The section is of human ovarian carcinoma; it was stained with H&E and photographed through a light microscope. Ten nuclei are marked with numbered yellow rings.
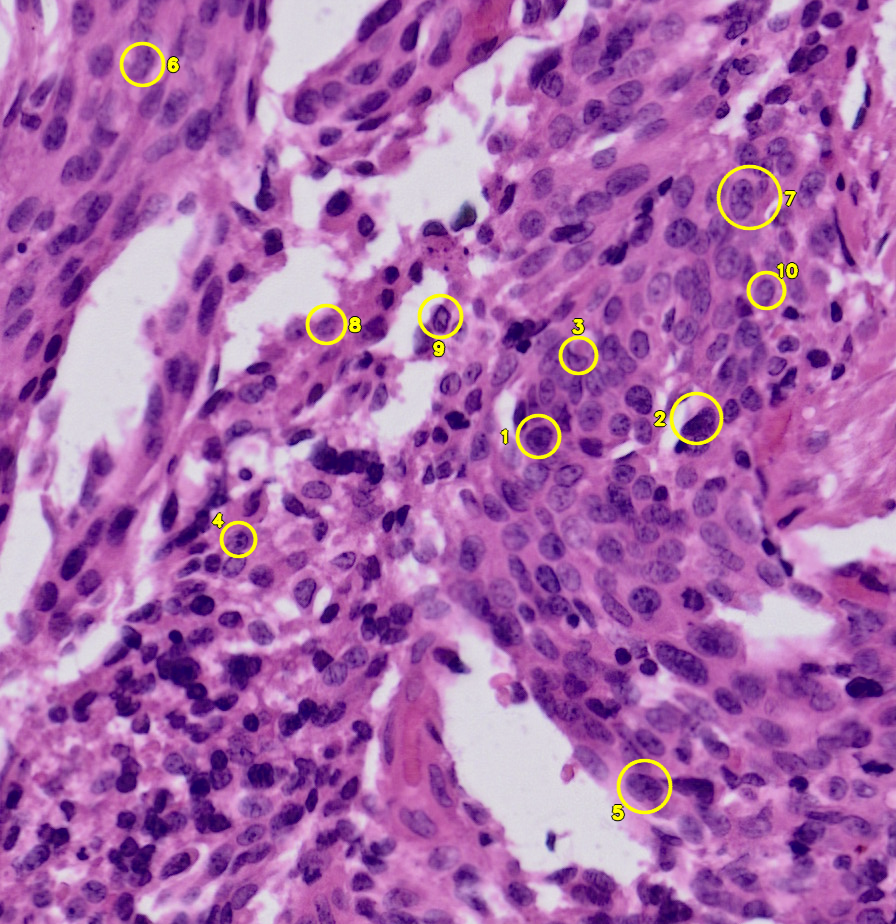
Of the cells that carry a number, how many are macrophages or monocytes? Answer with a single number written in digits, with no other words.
4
